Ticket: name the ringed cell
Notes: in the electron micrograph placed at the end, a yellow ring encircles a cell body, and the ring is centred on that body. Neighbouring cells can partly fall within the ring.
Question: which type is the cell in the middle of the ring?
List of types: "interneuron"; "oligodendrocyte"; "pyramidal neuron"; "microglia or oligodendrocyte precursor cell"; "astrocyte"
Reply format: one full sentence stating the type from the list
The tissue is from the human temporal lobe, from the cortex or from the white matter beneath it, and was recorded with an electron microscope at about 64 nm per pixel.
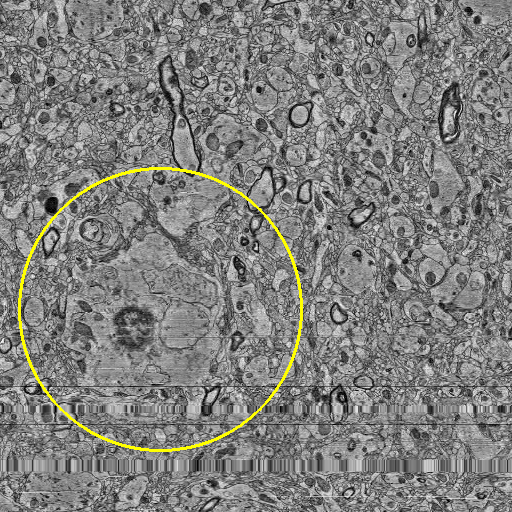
The cell sitting at the centre of the yellow ring is an astrocyte.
